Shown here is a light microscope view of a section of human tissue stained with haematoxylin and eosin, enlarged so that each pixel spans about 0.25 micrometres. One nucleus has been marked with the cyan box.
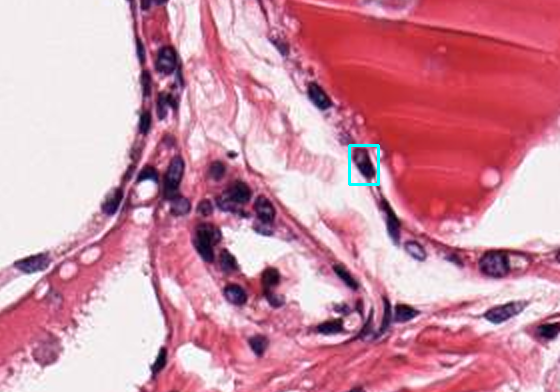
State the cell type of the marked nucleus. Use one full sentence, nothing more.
The nucleus picked out by the mark is that of a thyroid follicular cell.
